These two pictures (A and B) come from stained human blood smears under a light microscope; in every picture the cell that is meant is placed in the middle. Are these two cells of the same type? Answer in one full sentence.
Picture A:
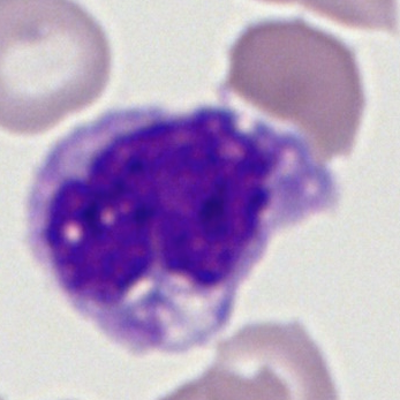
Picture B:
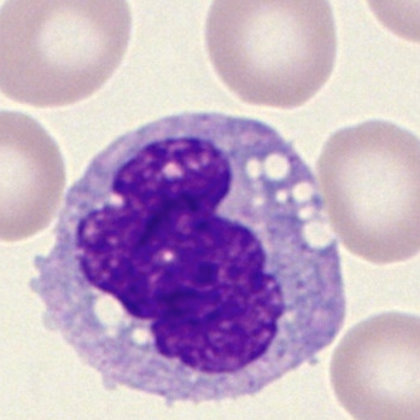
Yes; the cells in both pictures are monocytes.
